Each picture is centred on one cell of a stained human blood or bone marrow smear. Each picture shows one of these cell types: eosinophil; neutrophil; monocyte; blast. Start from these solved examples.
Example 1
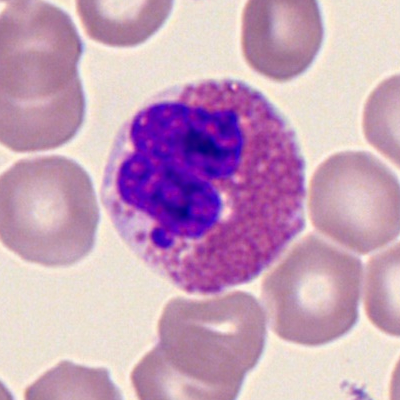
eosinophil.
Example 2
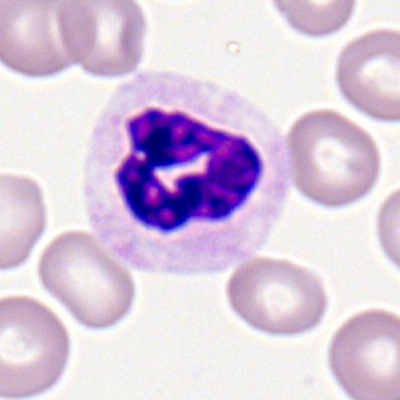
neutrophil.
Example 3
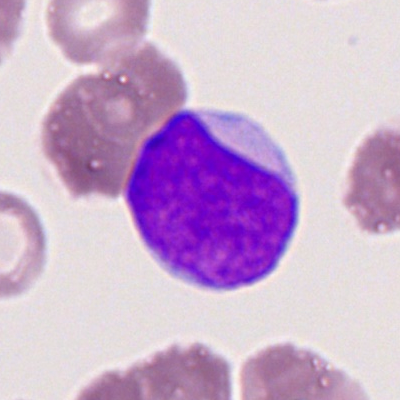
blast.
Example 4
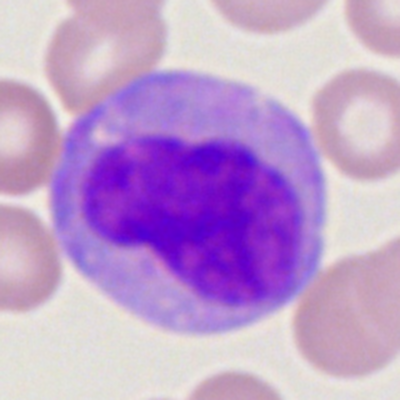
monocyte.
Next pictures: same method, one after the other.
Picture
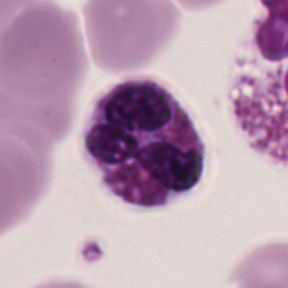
eosinophil.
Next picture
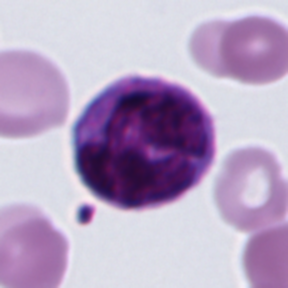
monocyte.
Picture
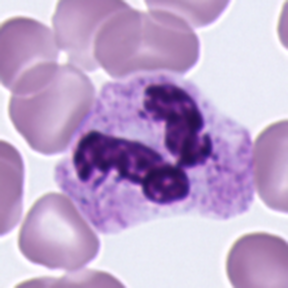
neutrophil.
